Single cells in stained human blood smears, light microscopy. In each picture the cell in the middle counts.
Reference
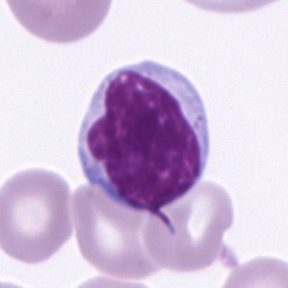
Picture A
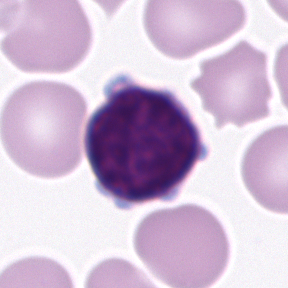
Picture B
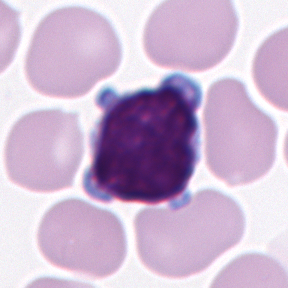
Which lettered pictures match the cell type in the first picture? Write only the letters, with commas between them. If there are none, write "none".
A, B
